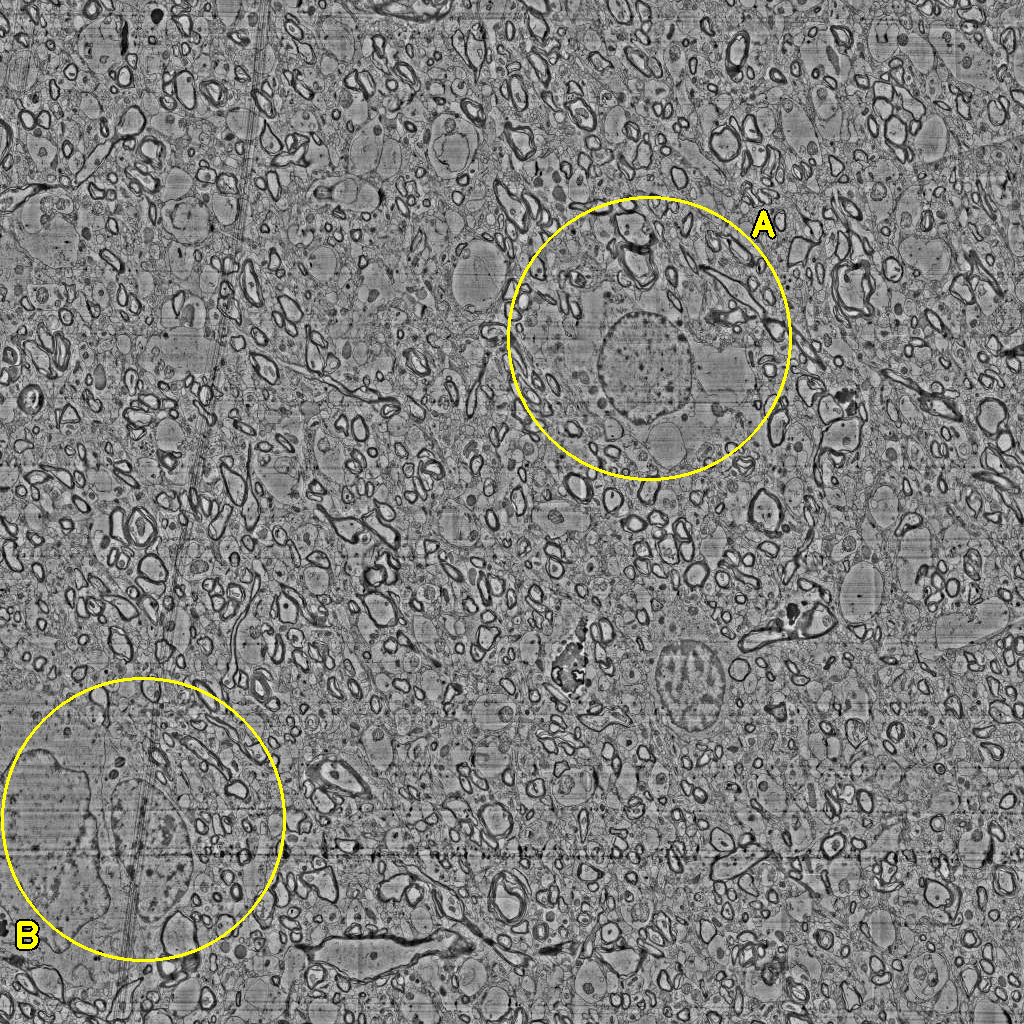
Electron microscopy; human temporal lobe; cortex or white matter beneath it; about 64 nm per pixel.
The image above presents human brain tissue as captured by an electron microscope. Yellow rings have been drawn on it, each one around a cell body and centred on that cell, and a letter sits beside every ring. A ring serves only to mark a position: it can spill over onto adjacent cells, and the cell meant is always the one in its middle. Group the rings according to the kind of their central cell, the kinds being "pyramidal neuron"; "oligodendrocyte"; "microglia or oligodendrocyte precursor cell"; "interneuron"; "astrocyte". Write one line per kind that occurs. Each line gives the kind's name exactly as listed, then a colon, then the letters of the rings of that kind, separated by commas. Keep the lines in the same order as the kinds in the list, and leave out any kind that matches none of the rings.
microglia or oligodendrocyte precursor cell: B
astrocyte: A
